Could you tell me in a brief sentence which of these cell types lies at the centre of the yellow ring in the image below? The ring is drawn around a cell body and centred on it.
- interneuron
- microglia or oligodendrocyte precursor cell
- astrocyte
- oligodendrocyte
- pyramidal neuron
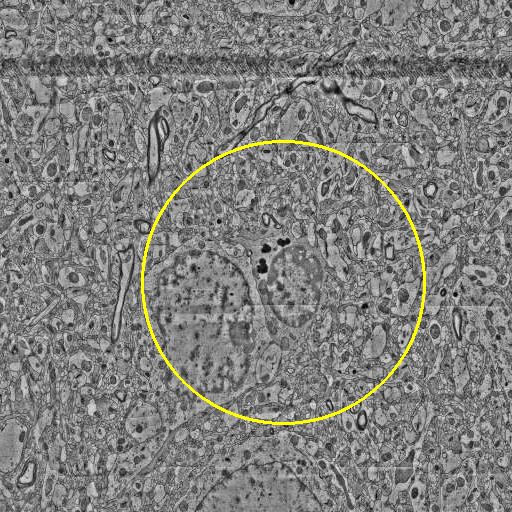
The cell centred in the ring is an oligodendrocyte.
